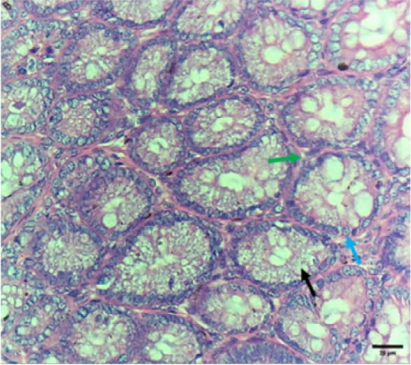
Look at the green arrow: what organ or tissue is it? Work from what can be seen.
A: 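The arrow points at the thin pink connective tissue between neighbouring crypts. On this evidence: lamina propria.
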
